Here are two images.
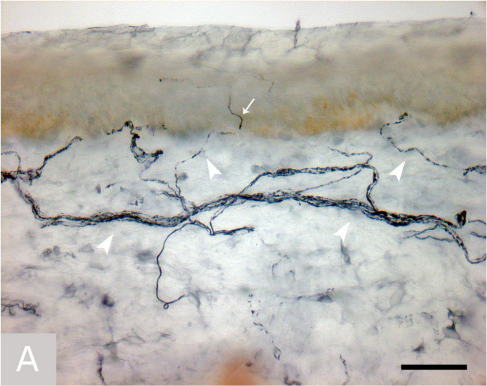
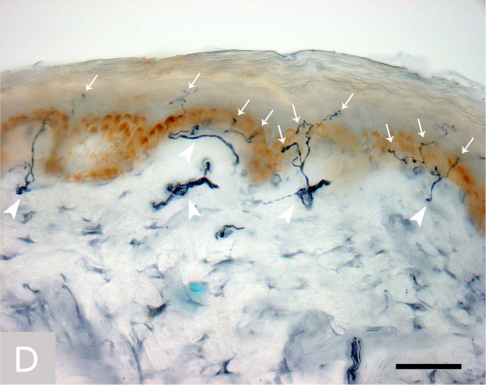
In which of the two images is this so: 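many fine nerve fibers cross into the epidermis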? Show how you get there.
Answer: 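The second image. First image: only one or two thin fibers reach into the epidermis. Second image: numerous thin dark fibers rise through the epidermis along its length.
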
